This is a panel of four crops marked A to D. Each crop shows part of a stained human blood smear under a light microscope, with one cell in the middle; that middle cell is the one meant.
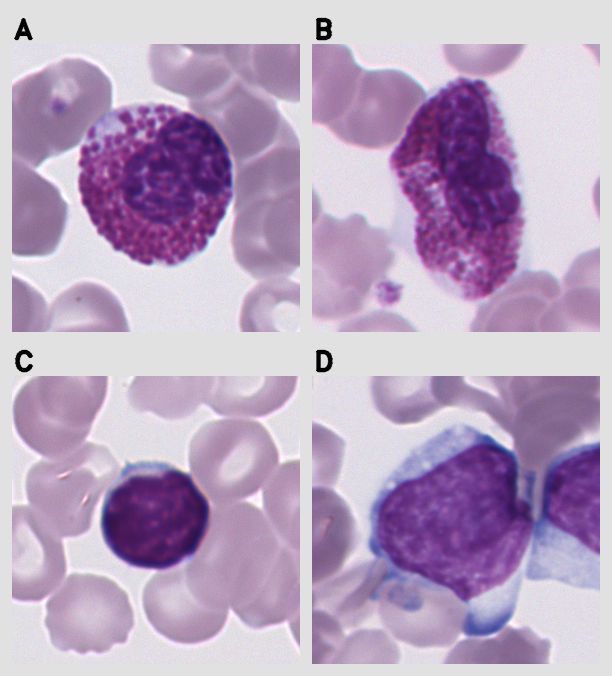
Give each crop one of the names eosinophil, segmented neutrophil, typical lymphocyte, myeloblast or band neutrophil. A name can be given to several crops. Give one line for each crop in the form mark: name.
A: eosinophil
B: eosinophil
C: typical lymphocyte
D: myeloblast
